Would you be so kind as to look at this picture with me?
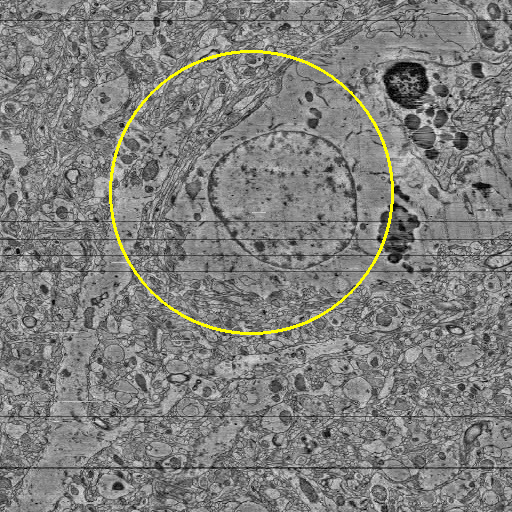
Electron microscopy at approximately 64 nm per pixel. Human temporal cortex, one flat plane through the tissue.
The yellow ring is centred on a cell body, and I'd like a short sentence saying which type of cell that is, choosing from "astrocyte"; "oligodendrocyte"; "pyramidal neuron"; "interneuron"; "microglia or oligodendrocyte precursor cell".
The cell body in the ring belongs to an astrocyte.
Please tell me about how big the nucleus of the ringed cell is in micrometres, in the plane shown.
About 9 micrometers across, in this plane.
